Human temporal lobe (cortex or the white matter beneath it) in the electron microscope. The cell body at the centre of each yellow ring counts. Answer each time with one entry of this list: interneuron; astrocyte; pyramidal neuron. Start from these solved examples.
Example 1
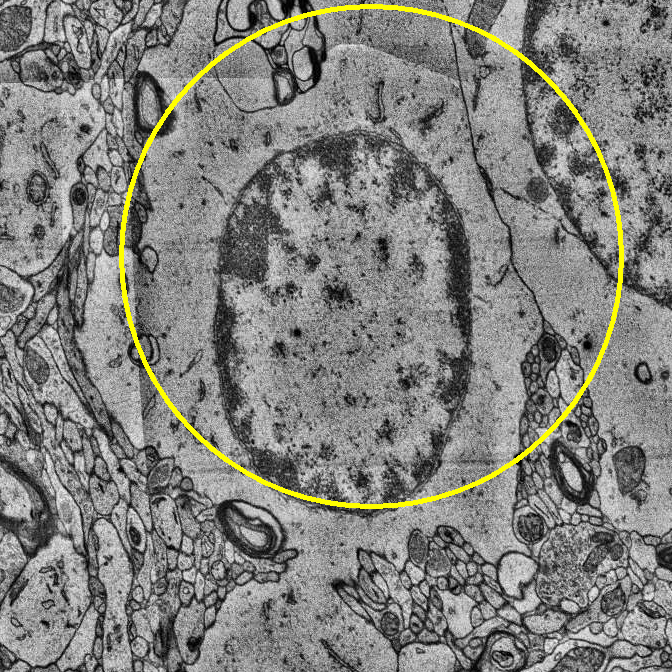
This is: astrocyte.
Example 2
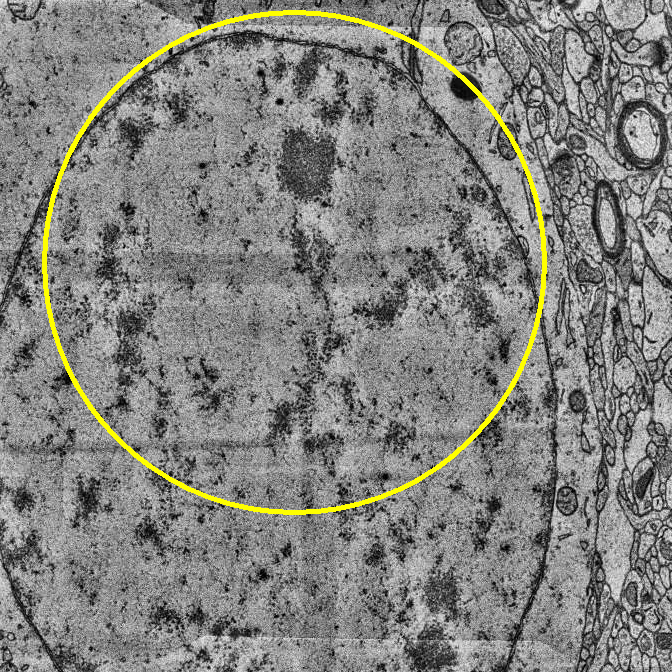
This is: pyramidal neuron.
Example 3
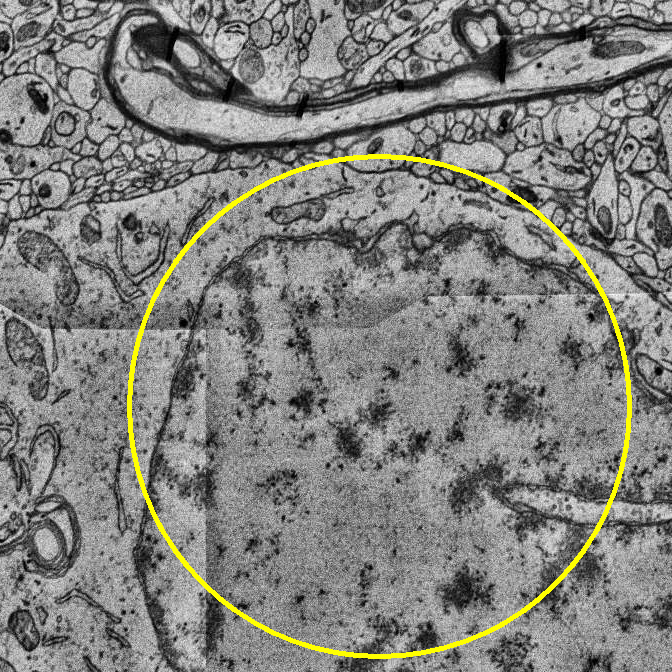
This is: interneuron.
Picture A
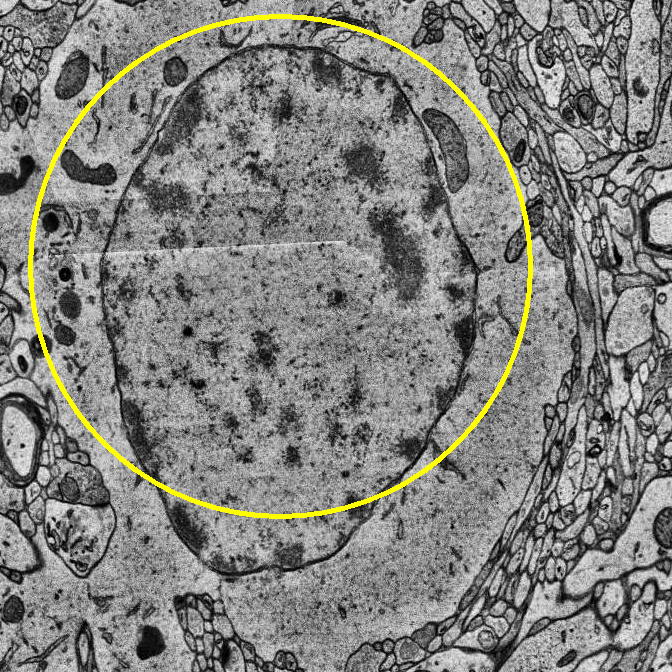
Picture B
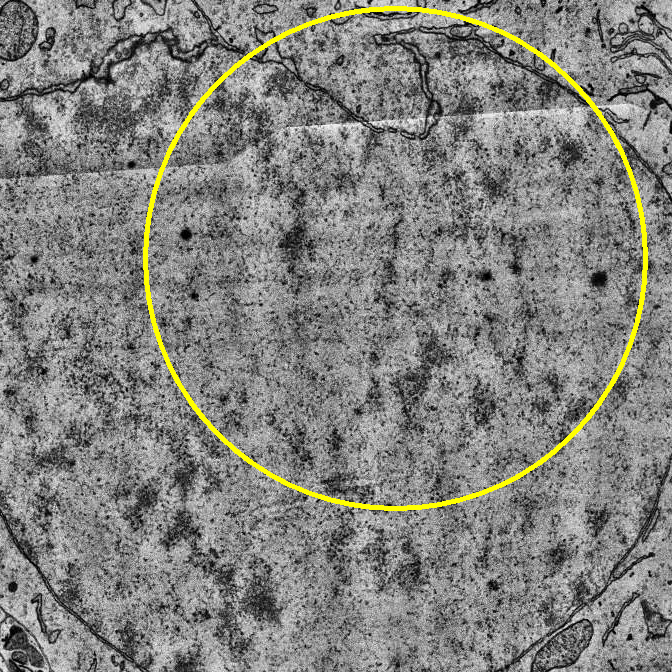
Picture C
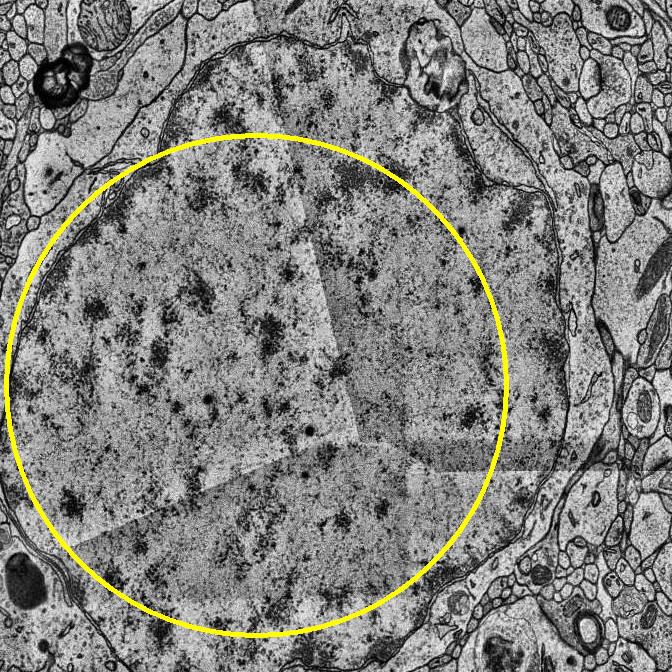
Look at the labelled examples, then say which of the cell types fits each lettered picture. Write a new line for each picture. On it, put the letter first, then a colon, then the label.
A: astrocyte.
B: pyramidal neuron.
C: interneuron.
